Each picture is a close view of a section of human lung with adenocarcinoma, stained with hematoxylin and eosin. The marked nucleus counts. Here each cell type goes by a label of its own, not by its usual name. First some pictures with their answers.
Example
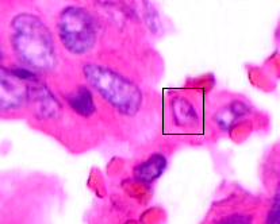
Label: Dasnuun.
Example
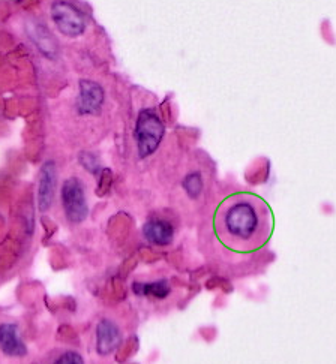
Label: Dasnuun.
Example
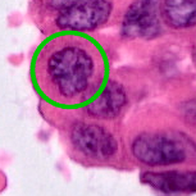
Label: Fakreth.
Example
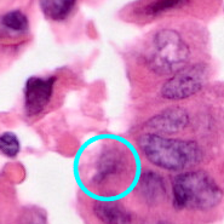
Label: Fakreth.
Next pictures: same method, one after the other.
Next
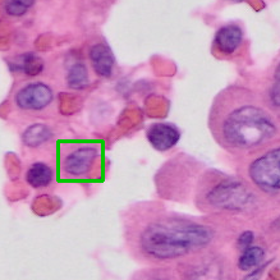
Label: Dasnuun.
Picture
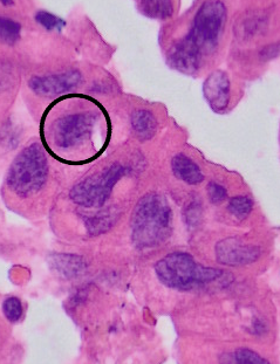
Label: Fakreth.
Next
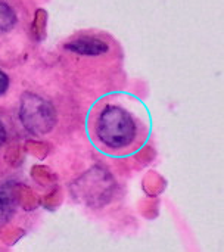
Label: Dasnuun.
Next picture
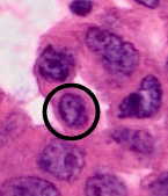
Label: Fakreth.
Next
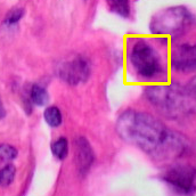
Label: Fakreth.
